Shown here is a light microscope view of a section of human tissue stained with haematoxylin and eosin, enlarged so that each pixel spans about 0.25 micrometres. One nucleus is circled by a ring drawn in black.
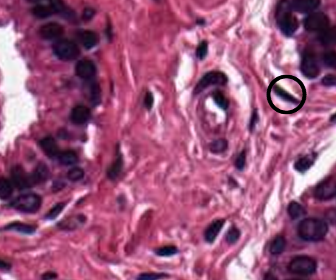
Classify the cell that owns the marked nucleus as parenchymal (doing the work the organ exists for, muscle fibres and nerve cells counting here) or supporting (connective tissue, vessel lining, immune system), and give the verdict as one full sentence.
The marked nucleus is assigned to a supporting cell.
